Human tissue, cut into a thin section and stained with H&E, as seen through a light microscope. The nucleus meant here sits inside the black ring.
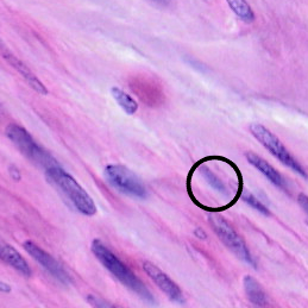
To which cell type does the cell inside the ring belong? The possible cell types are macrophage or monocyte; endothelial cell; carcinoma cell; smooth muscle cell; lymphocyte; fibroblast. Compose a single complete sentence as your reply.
With respect to cell type, the cell inside the ring is a smooth muscle cell.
